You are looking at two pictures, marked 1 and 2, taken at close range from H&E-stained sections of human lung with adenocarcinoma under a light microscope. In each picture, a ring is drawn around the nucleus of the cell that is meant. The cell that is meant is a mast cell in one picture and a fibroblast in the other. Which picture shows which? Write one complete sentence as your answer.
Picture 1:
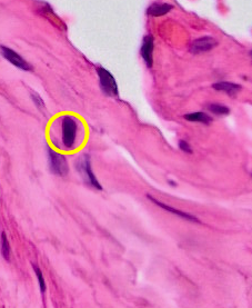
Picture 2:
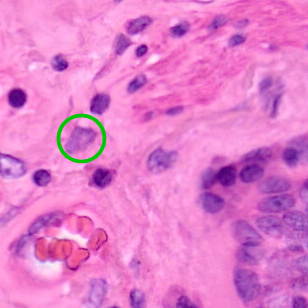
Picture 1 is of a mast cell, and picture 2 is of a fibroblast.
